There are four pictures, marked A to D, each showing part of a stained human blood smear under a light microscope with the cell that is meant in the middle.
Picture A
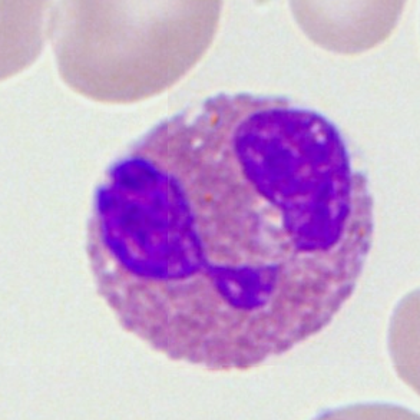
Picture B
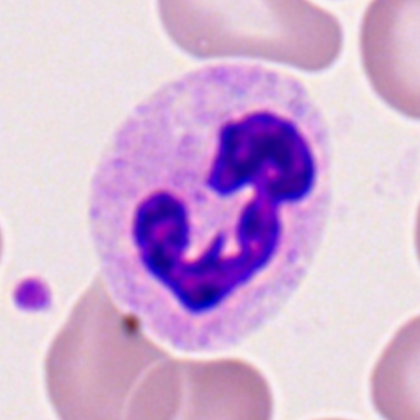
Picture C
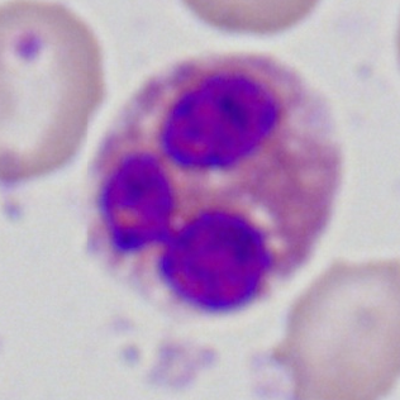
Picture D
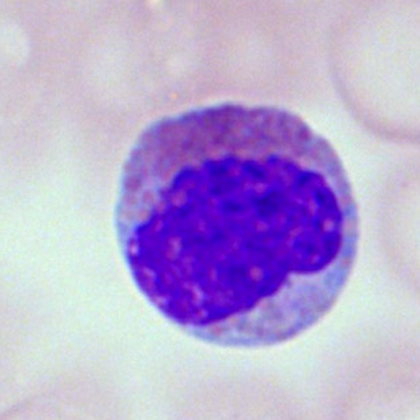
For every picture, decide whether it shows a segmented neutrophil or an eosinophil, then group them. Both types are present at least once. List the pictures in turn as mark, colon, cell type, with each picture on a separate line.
A: eosinophil
B: segmented neutrophil
C: eosinophil
D: eosinophil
